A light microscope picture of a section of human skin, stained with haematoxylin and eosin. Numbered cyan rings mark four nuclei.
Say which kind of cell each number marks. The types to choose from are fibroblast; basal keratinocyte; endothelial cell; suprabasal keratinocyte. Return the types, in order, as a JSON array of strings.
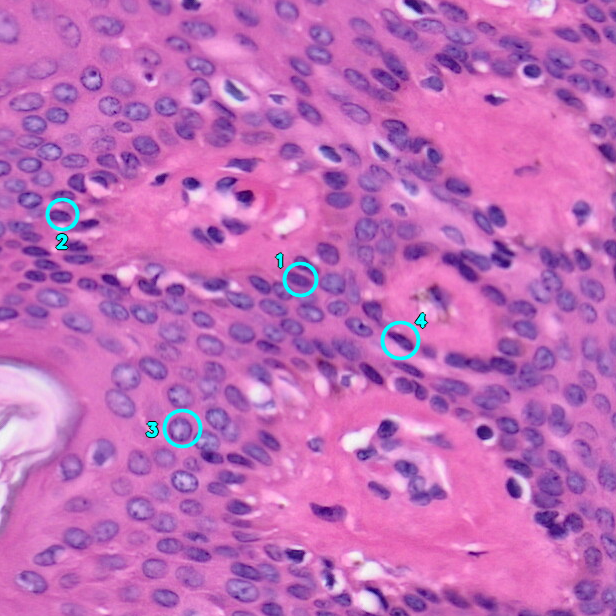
["basal keratinocyte", "basal keratinocyte", "suprabasal keratinocyte", "basal keratinocyte"]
